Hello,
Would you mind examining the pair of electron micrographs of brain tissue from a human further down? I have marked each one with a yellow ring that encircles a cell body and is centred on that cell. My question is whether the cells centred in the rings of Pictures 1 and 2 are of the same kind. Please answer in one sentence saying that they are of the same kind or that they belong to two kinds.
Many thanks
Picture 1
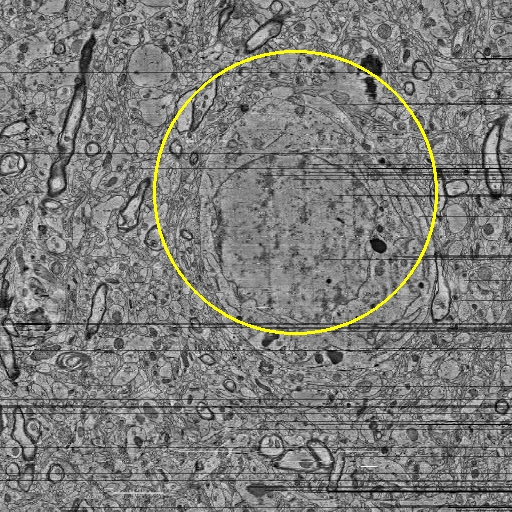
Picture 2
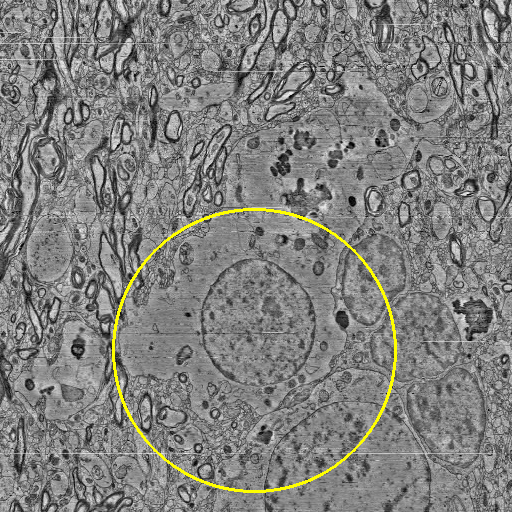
In Pictures 1 and 2, the cells at the heart of the rings belong to two kinds.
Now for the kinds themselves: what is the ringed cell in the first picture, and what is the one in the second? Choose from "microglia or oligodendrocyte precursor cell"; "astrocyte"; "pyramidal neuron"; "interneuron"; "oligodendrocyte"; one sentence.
Here the first cell is a pyramidal neuron and the second cell is an astrocyte.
